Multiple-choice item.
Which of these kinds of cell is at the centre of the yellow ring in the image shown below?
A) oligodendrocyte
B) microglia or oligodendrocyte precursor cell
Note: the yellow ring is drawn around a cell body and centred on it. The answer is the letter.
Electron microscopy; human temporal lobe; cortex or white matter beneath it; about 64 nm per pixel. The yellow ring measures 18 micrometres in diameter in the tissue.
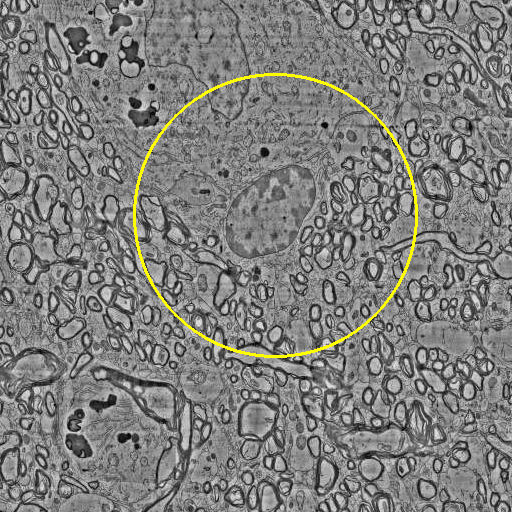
B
